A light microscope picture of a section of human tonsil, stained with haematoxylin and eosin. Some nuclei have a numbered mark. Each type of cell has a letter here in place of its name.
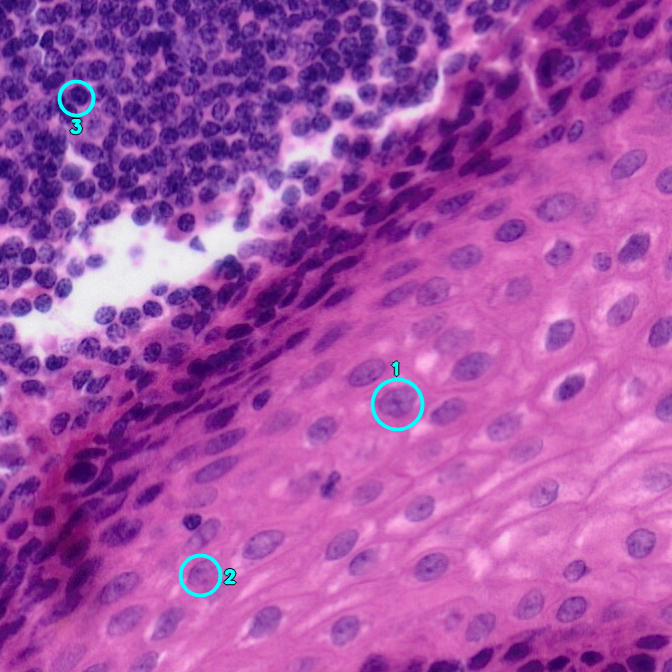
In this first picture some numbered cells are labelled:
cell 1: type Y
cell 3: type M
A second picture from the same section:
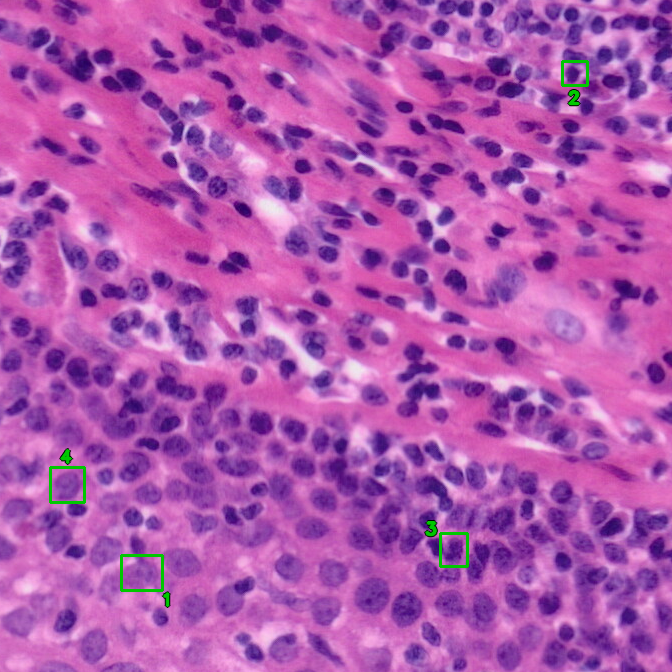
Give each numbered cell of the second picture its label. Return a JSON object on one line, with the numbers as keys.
{"1": "type Y", "2": "type M", "3": "type Y", "4": "type Y"}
